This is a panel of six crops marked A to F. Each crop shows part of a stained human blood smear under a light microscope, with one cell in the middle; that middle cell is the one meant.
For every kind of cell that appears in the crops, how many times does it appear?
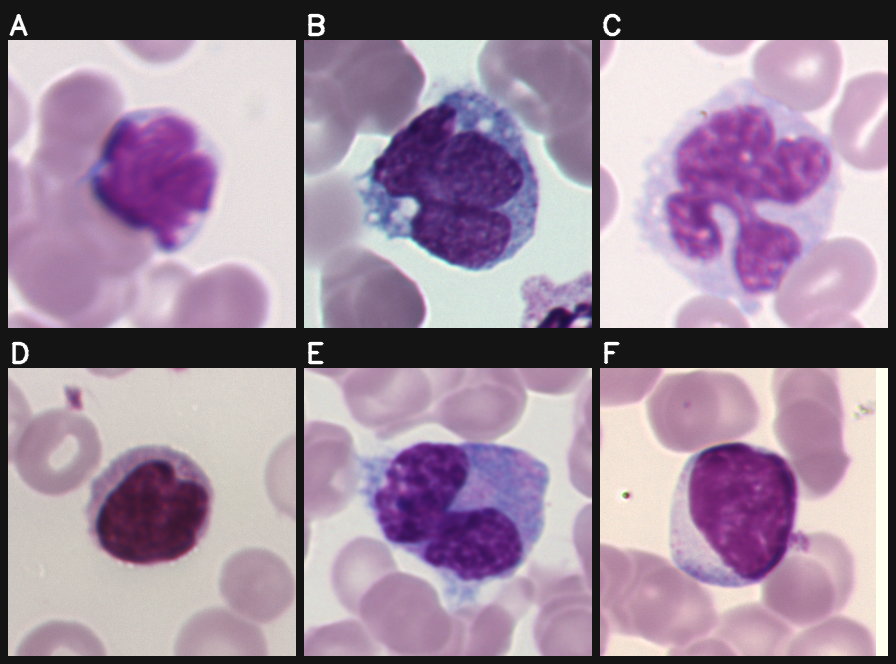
large granular lymphocyte: 3
monocyte: 3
